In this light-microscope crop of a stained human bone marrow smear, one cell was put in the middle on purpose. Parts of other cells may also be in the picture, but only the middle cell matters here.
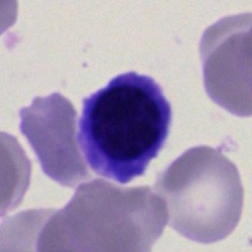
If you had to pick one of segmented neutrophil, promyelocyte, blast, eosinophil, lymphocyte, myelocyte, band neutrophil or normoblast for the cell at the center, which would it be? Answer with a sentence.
The centered cell in this crop is a normoblast.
